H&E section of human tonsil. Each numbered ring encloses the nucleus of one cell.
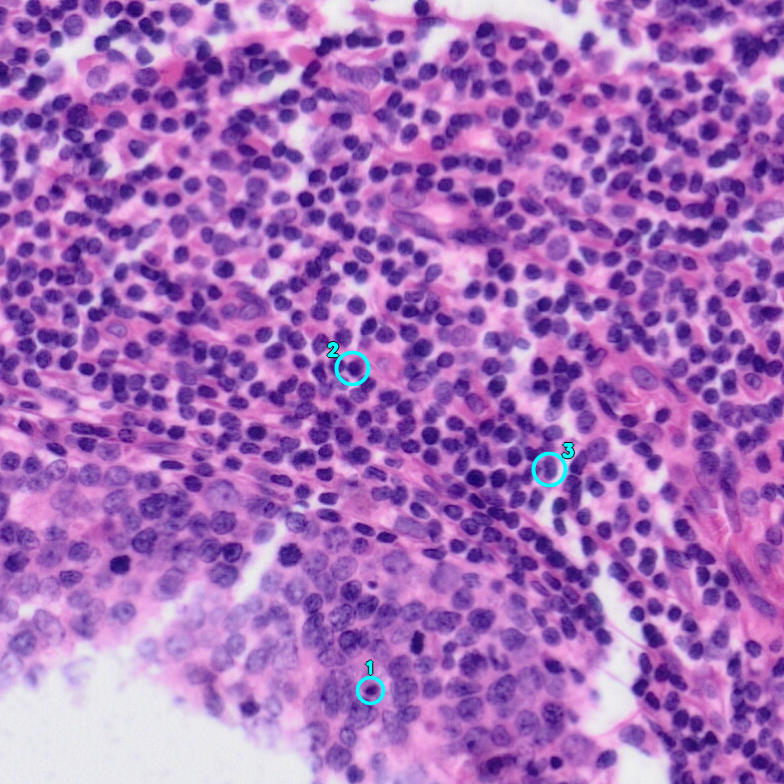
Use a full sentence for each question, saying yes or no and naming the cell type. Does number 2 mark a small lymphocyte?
Yes, number 2 is assigned to a cell that is a small lymphocyte.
